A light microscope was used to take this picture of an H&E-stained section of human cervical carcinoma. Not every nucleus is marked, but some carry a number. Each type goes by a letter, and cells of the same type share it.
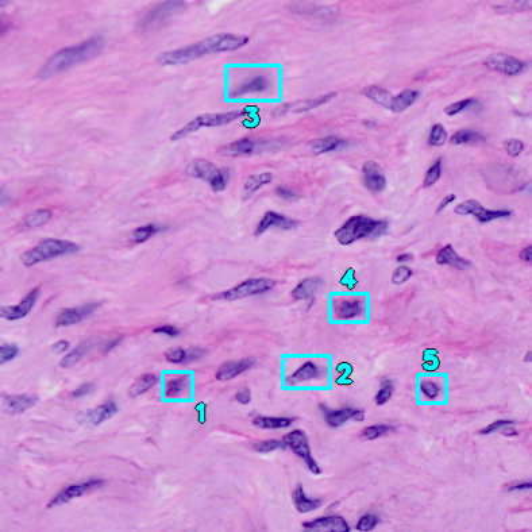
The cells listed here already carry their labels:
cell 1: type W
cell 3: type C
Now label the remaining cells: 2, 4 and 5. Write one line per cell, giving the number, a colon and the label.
2: type C
4: type W
5: type W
